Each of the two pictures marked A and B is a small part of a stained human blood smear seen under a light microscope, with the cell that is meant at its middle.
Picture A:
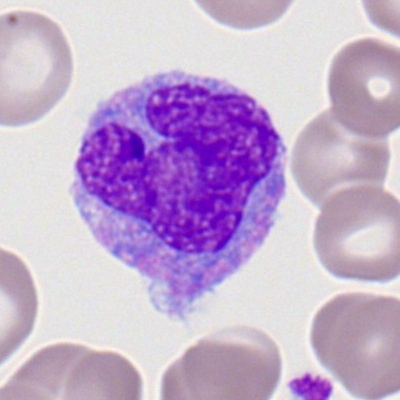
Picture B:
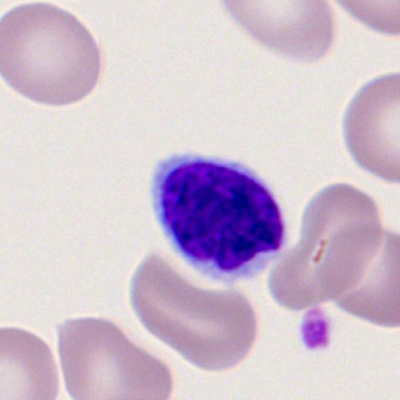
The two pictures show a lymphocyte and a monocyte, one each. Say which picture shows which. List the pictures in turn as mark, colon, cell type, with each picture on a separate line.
A: monocyte
B: lymphocyte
